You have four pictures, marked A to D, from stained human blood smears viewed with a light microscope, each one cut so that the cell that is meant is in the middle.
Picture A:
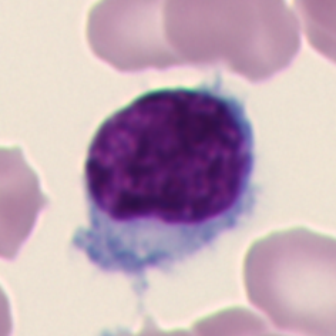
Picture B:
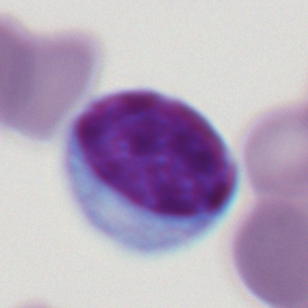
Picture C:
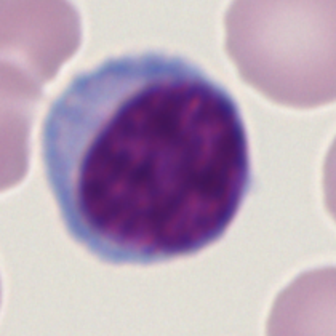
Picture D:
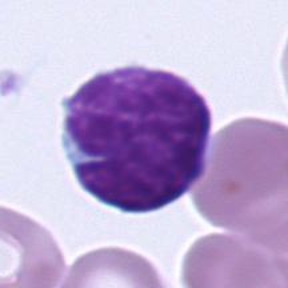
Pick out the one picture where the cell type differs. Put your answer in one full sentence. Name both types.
Picture A differs, because its cell is a hairy cell and the rest are typical lymphocytes.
